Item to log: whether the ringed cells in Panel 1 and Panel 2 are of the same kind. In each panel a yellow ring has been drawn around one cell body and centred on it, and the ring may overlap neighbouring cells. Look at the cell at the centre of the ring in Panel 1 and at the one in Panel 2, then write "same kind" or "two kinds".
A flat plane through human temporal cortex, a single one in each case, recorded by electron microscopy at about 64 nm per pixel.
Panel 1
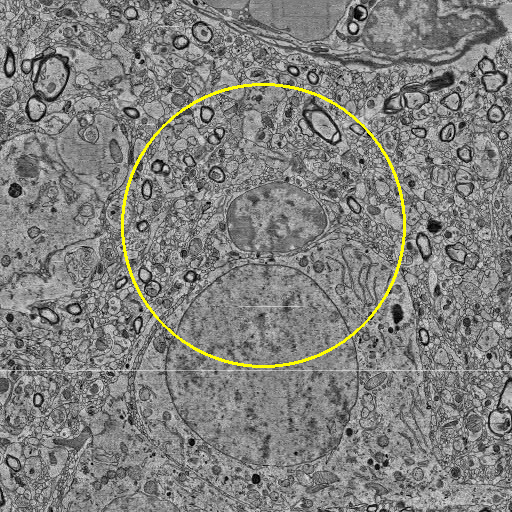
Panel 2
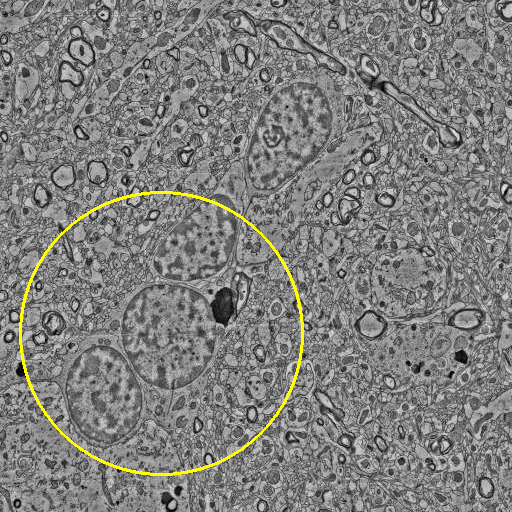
two kinds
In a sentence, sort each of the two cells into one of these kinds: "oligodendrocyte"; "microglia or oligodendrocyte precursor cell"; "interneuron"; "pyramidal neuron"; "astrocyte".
The first of the two cells is a microglial cell or oligodendrocyte precursor cell, and the second is an oligodendrocyte.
